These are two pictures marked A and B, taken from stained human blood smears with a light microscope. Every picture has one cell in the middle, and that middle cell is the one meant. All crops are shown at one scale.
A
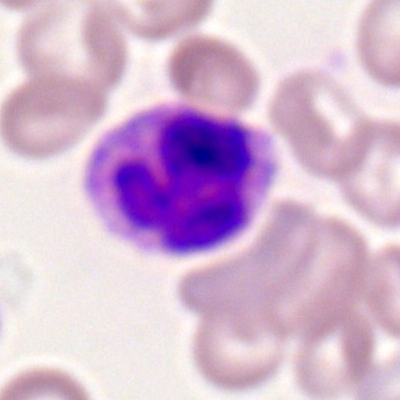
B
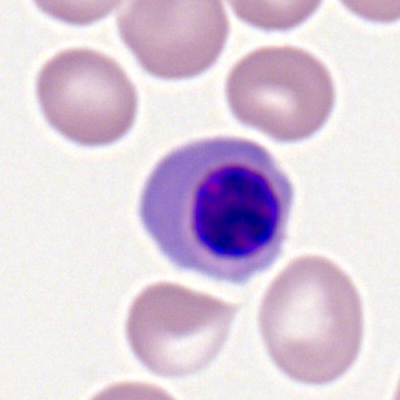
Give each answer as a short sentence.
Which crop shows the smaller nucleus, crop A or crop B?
Smaller is the nucleus in crop B, and the other is about 2 times as large in area.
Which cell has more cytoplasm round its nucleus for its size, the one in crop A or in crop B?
The nucleus fills less of the cell in crop B than in crop A.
